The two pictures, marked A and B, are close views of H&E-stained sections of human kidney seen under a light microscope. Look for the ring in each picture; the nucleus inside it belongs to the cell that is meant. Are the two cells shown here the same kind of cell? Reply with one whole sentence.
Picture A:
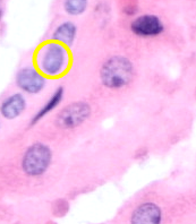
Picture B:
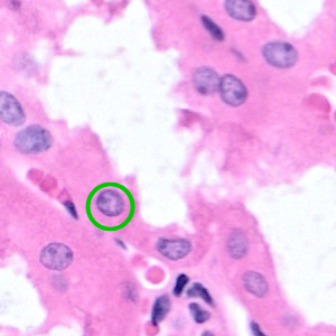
No, picture A shows a collecting duct cell and picture B shows a proximal tubule cell.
